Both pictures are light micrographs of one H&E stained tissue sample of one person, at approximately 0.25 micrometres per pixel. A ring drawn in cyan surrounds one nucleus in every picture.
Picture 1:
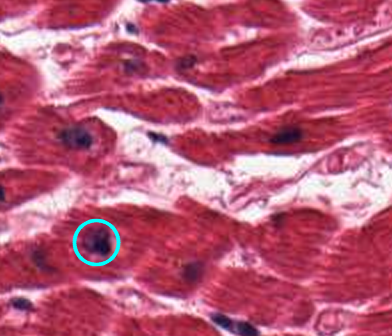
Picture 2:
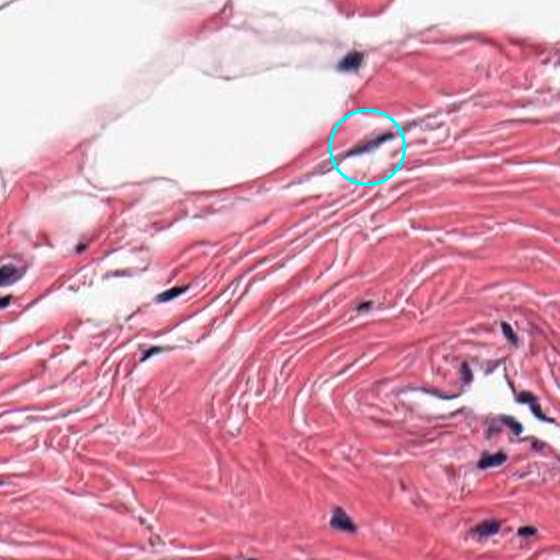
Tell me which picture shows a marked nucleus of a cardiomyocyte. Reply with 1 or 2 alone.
1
